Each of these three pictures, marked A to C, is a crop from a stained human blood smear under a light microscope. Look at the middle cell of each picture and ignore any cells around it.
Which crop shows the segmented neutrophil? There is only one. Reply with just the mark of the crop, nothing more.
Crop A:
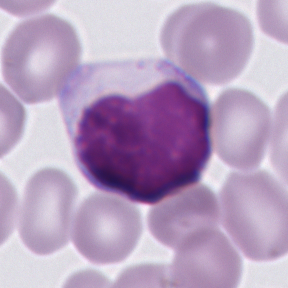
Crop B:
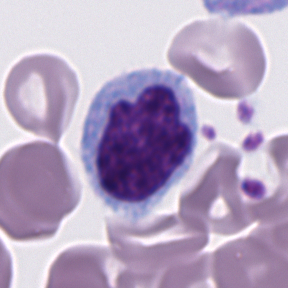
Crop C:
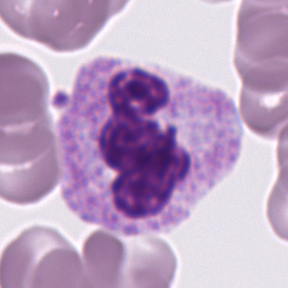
C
